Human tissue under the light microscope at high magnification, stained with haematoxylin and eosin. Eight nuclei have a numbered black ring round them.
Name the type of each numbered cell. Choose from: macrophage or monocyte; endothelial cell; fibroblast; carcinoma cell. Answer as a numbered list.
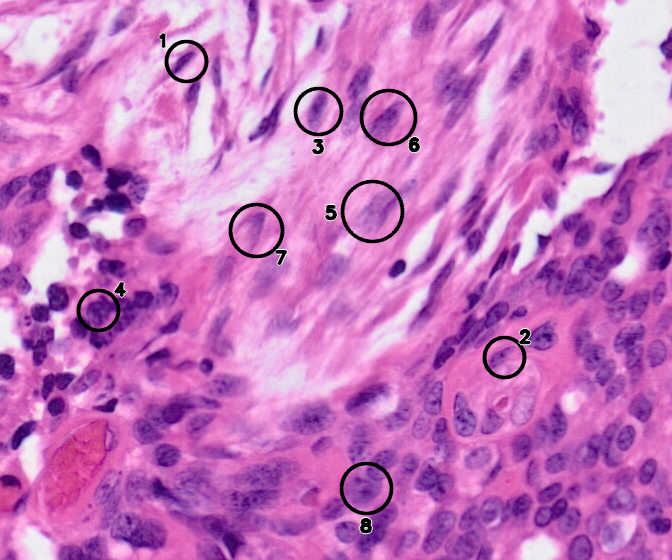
1. fibroblast
2. endothelial cell
3. fibroblast
4. carcinoma cell
5. fibroblast
6. fibroblast
7. fibroblast
8. carcinoma cell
